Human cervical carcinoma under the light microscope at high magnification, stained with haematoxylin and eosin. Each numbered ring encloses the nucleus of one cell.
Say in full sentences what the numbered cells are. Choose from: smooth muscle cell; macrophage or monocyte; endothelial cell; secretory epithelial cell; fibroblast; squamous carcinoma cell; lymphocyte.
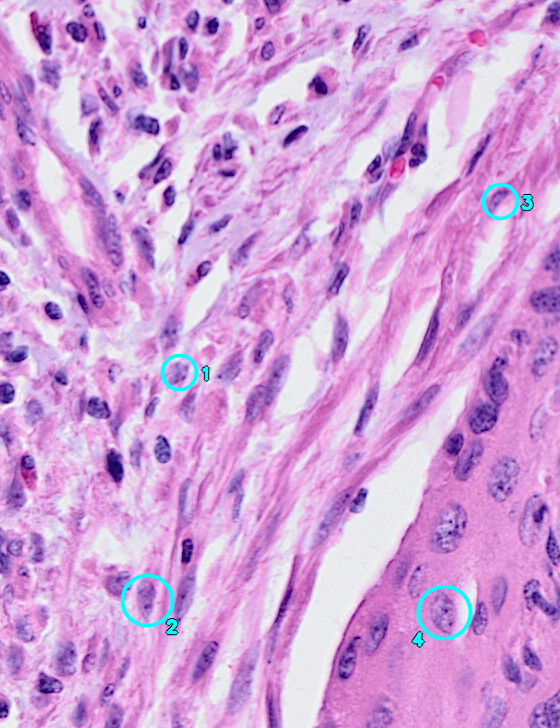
Cell 1 is a fibroblast, cell 2 is a fibroblast, cell 3 is a fibroblast and cell 4 is a squamous carcinoma cell.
